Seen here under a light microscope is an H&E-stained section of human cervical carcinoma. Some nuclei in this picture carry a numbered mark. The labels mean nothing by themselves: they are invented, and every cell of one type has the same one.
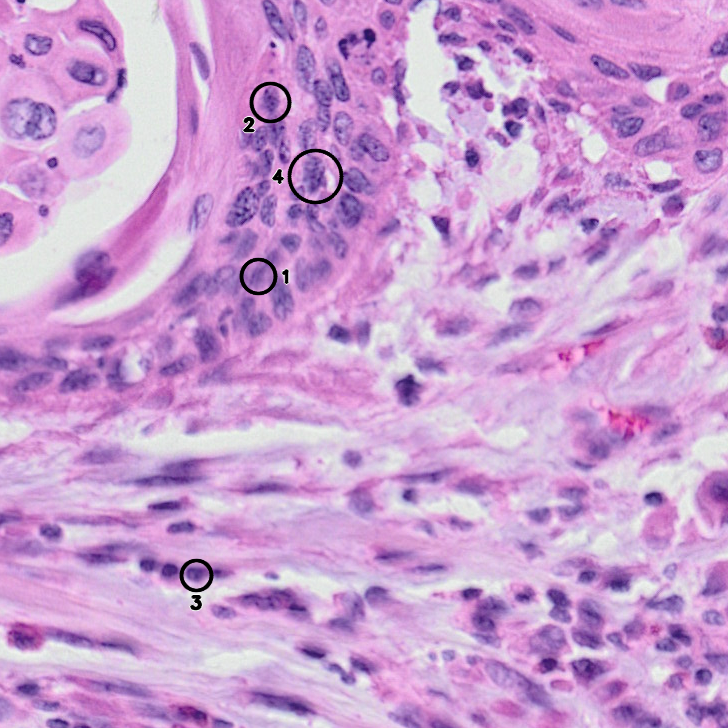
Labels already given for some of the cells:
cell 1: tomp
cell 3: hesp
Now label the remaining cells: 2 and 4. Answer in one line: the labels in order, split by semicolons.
tomp; tomp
